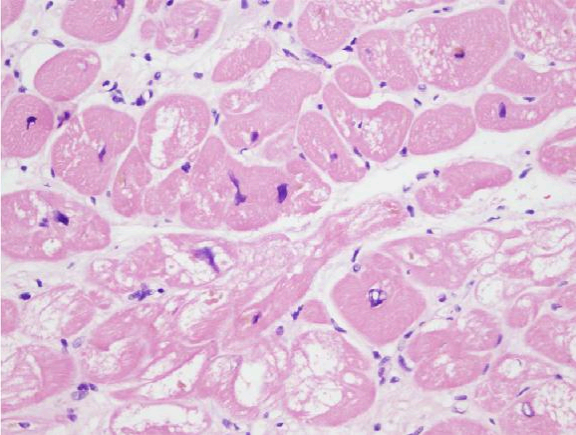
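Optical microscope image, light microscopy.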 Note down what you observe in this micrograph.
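Myocytes cut mostly in cross and oblique section, showing hypertrophy and vacuolar change. Fibres are large with pink cytoplasm. Many contain clear, pale, bubbly vacuolated areas, mostly central and around the nucleus, and some fibres are largely cleared. Nuclei are purple, single and central. Several are enlarged, dark and irregular or angular. Fibres are separated by narrow pale interstitial spaces holding scattered small, elongated, dark nuclei. No clusters of inflammatory cells are seen.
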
